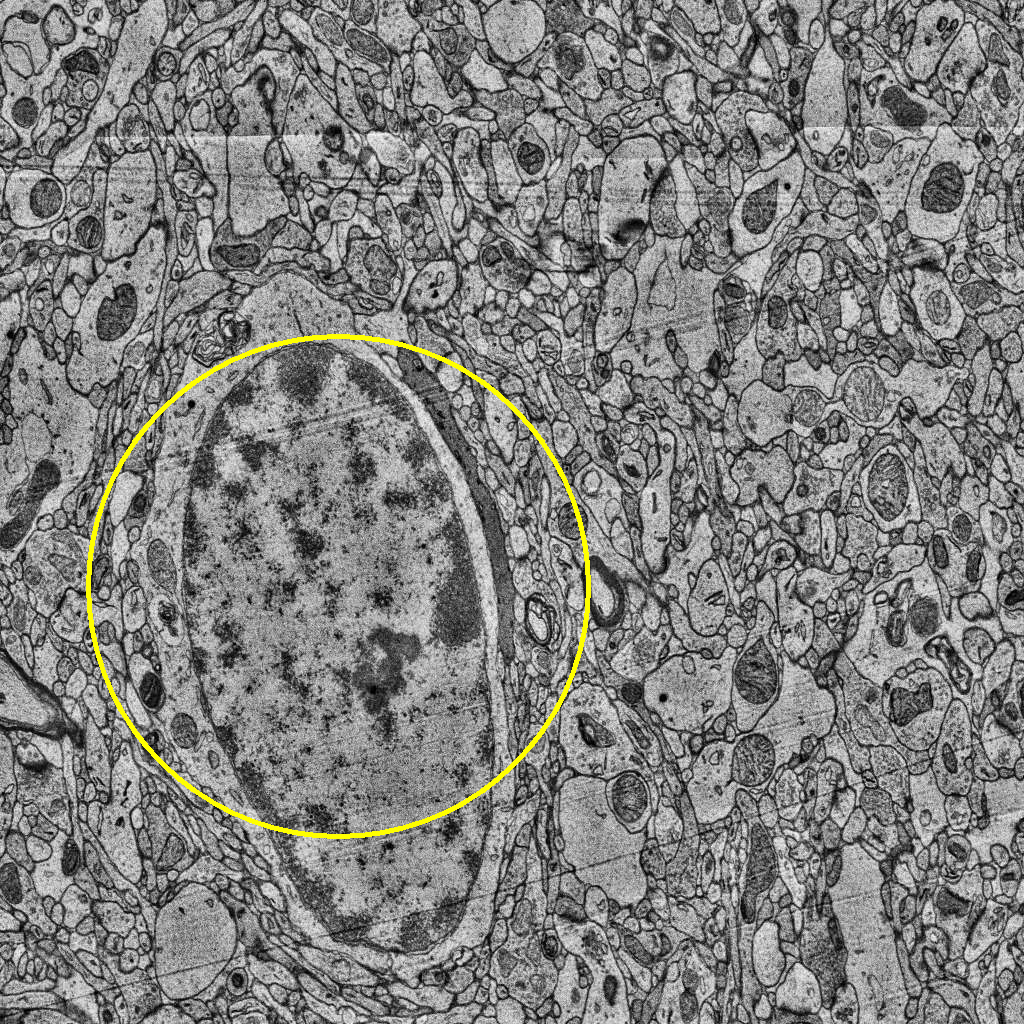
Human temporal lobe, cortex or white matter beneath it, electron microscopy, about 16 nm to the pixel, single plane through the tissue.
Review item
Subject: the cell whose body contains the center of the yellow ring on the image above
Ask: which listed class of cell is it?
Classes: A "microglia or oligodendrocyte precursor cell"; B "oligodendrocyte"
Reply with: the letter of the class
A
